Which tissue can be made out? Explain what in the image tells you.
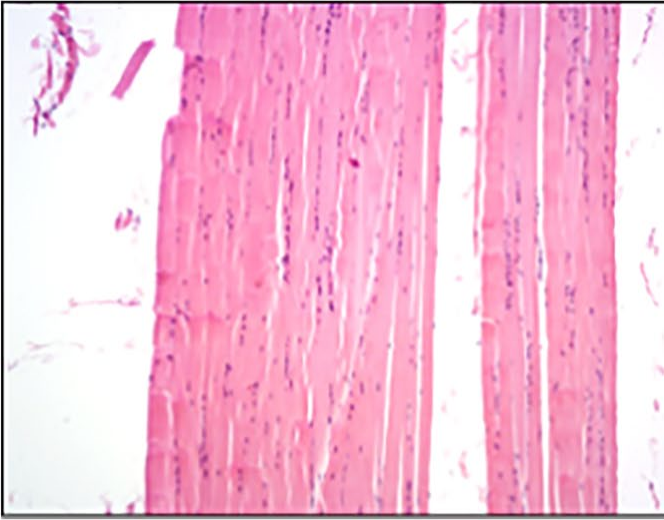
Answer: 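Long, parallel, unbranched pink fibres run the length of the panel. Small dark purple elongated nuclei lie along the edges of the fibres.
Muscle.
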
